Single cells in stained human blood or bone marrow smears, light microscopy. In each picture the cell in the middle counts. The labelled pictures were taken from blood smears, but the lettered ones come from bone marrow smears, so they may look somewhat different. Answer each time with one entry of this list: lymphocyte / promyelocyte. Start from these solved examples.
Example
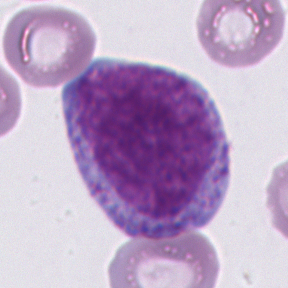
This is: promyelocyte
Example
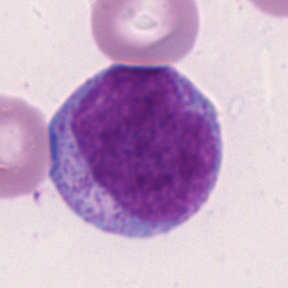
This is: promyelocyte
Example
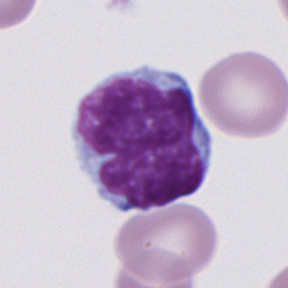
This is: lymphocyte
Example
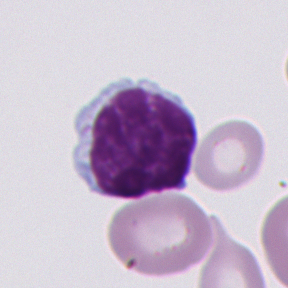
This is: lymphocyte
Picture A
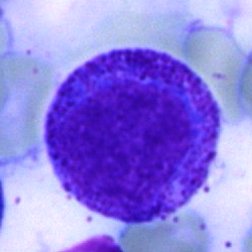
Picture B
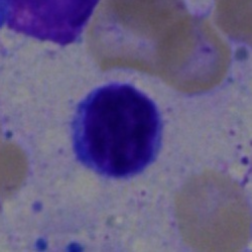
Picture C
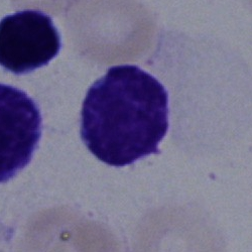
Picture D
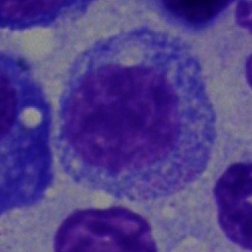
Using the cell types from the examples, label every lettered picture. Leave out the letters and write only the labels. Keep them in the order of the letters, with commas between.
promyelocyte, lymphocyte, lymphocyte, promyelocyte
